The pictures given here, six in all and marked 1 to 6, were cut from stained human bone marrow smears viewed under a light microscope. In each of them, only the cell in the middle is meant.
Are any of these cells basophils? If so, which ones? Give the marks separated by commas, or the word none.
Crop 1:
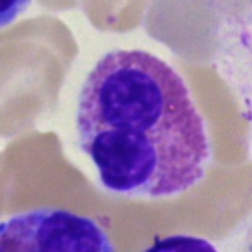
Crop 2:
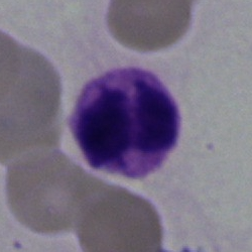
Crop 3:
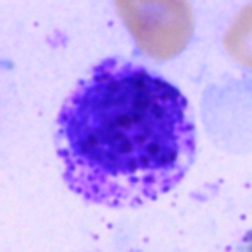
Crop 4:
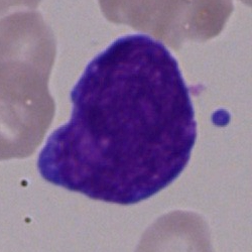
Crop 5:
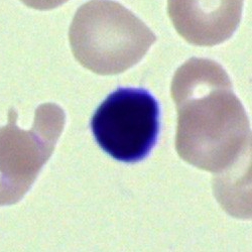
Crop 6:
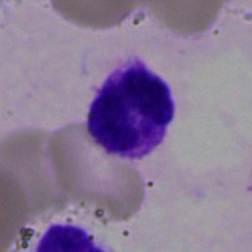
2, 3, 6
